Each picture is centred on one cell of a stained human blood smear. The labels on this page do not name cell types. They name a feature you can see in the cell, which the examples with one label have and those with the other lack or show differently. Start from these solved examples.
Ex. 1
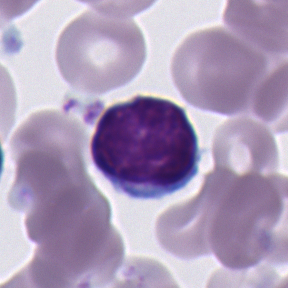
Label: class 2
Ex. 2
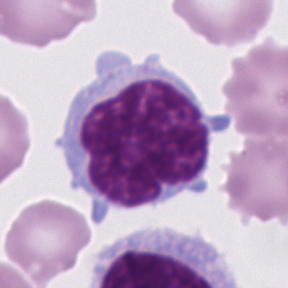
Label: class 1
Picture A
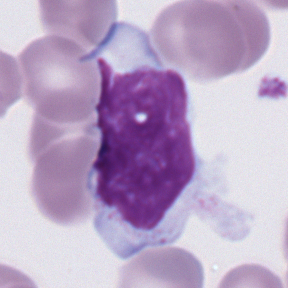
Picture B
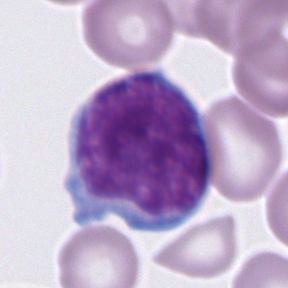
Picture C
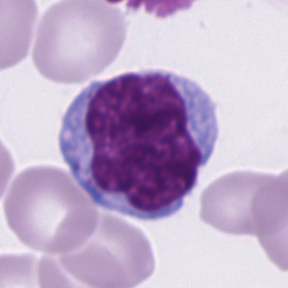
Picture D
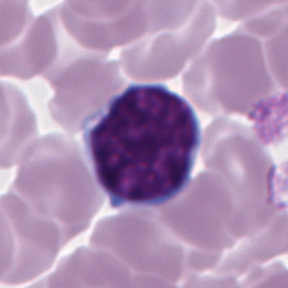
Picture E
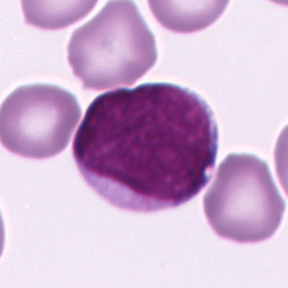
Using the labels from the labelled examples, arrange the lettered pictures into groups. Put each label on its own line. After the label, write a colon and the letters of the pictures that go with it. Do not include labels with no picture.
class 2: C, E
class 1: A, B, D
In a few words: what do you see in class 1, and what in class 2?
class 1: ragged outline or projections; class 2: smooth outline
